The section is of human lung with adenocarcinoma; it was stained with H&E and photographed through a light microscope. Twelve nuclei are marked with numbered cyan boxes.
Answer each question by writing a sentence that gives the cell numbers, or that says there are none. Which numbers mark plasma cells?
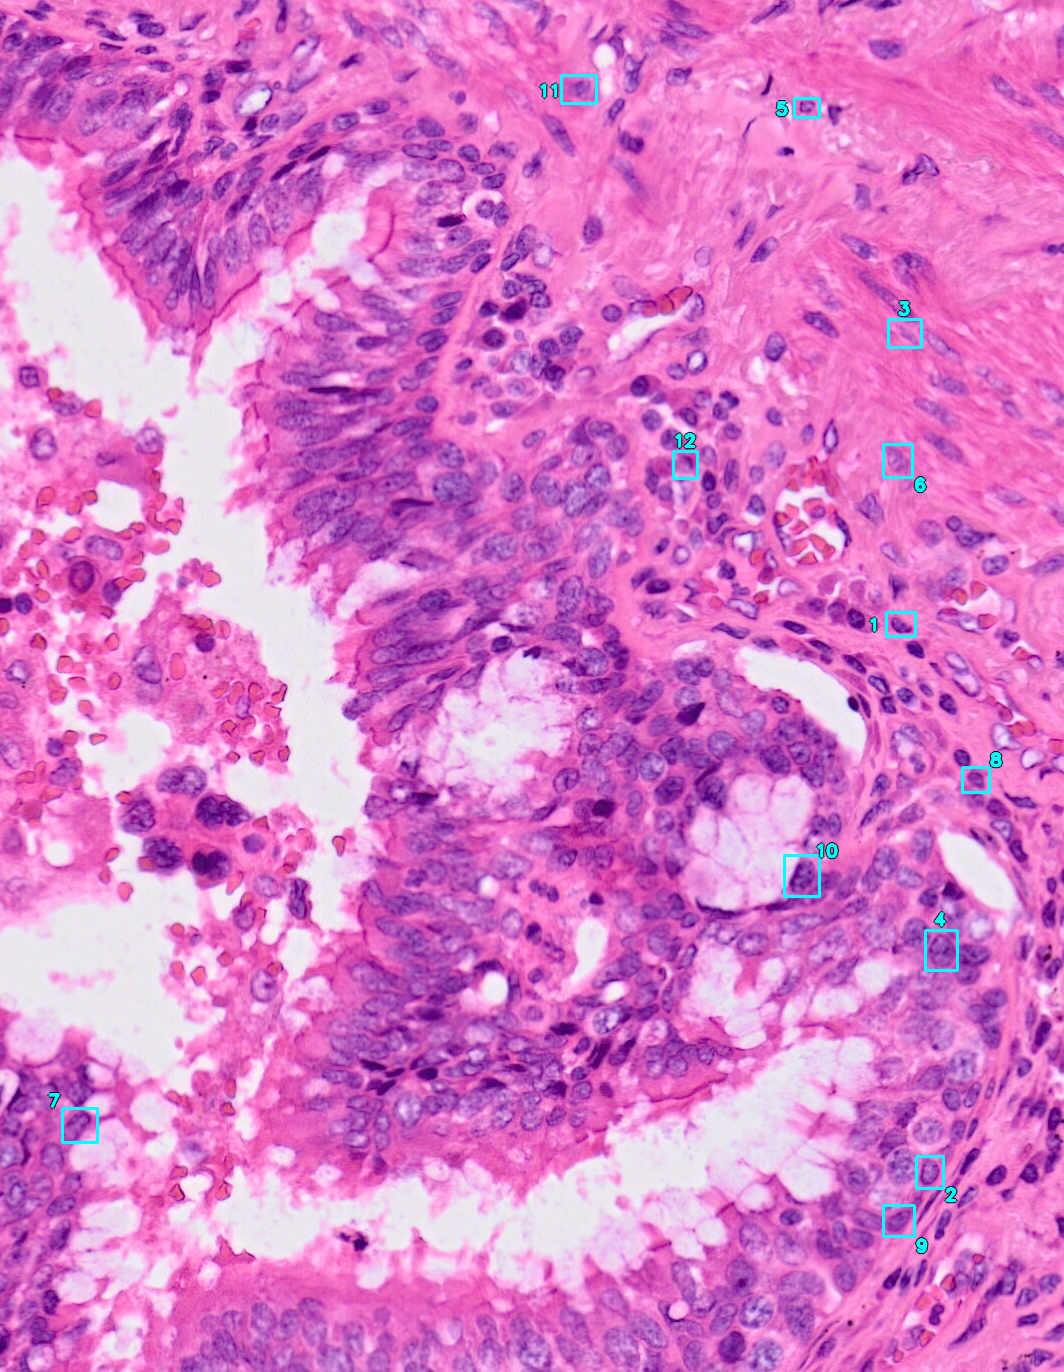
The cells that the numbers 8 and 12 belong to are plasma cells.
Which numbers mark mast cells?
The cells numbered 1 and 5 are of the kind known as mast cells.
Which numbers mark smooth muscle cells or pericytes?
By cell type, the cells numbered 3, 6 and 11 are smooth muscle cells or pericytes.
